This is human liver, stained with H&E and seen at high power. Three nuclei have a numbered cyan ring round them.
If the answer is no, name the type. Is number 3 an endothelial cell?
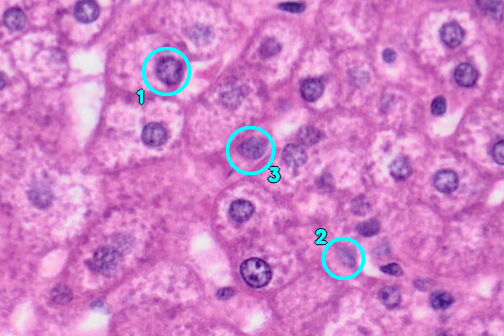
Yes.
